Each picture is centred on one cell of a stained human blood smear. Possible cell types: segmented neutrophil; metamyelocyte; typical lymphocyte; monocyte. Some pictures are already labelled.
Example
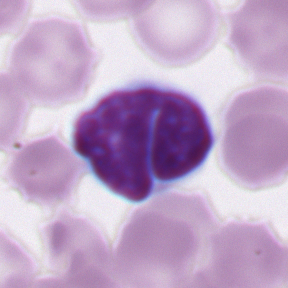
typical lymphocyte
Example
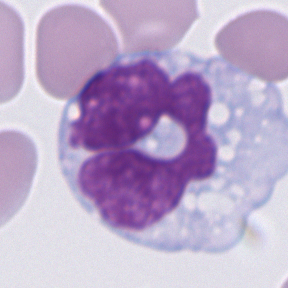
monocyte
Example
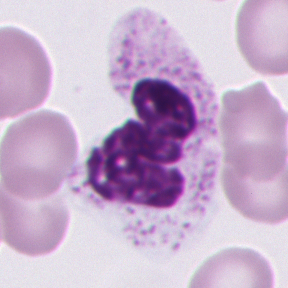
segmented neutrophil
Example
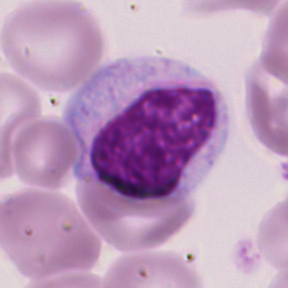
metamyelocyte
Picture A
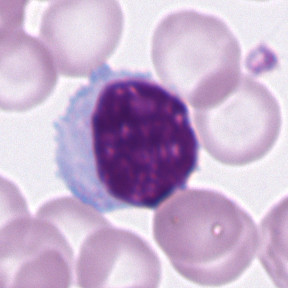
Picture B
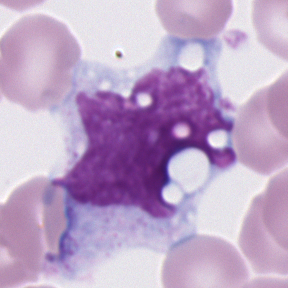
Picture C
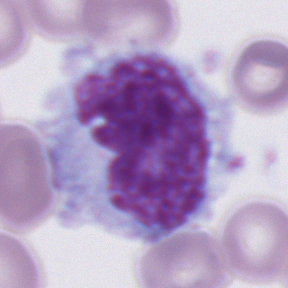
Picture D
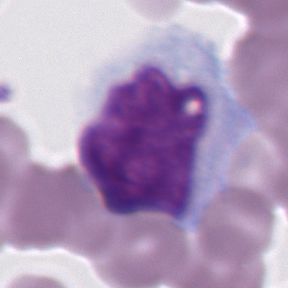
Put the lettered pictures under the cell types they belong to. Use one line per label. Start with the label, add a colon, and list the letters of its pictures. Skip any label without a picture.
typical lymphocyte: A
monocyte: B, C, D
